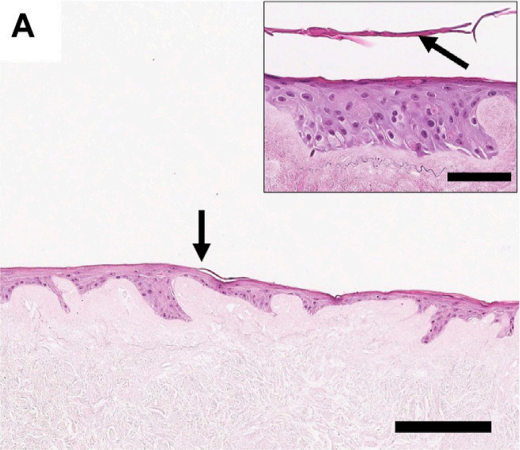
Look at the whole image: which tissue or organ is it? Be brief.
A: Stratified epithelium.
